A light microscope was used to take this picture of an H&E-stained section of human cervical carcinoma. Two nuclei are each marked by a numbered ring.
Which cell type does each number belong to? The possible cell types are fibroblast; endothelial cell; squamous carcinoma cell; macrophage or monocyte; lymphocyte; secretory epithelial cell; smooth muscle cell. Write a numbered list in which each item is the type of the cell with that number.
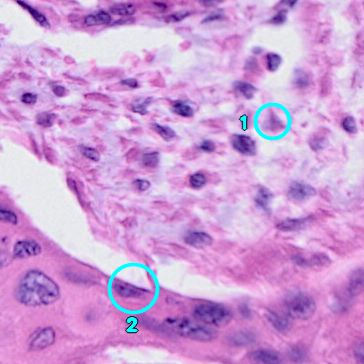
1. fibroblast
2. squamous carcinoma cell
